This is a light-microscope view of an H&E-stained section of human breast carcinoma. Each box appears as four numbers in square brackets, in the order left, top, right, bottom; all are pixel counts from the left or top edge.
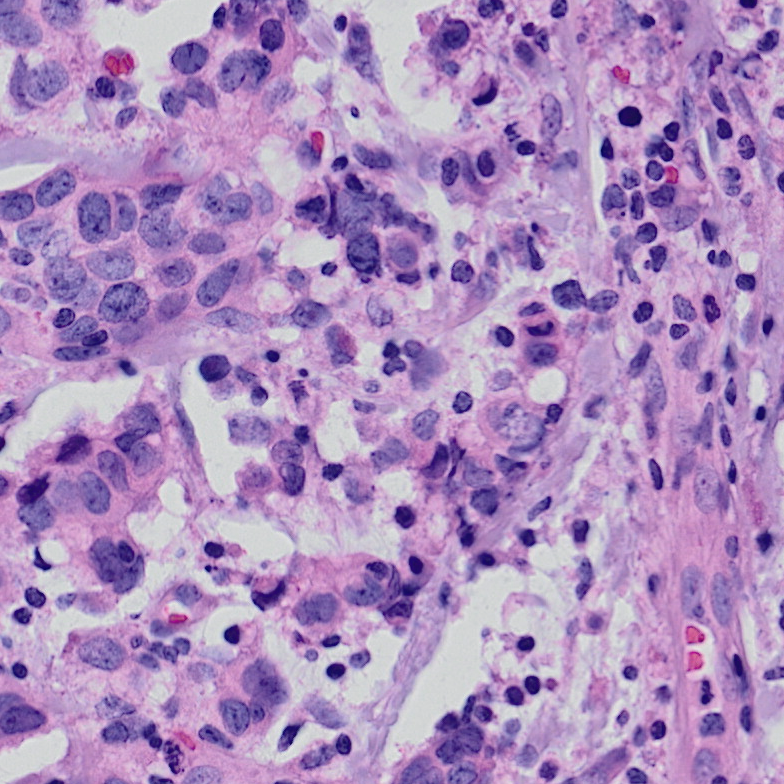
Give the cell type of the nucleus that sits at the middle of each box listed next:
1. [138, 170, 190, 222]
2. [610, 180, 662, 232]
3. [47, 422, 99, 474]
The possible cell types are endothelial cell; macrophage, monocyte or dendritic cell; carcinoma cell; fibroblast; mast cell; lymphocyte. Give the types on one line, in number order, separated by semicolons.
carcinoma cell; lymphocyte; carcinoma cell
